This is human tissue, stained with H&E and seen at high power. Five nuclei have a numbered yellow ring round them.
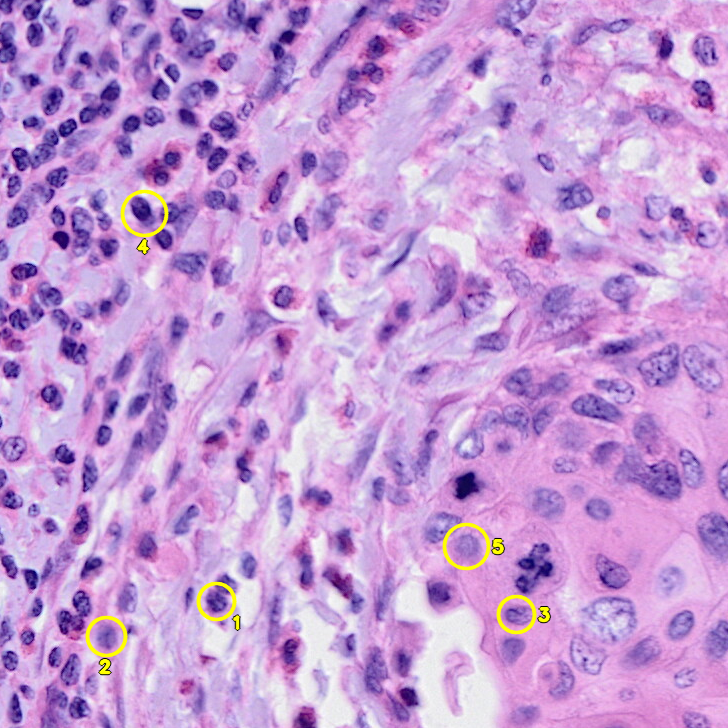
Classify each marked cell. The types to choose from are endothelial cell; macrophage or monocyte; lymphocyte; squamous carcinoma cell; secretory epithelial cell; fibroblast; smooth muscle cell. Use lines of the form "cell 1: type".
cell 1: lymphocyte
cell 2: macrophage or monocyte
cell 3: squamous carcinoma cell
cell 4: lymphocyte
cell 5: squamous carcinoma cell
